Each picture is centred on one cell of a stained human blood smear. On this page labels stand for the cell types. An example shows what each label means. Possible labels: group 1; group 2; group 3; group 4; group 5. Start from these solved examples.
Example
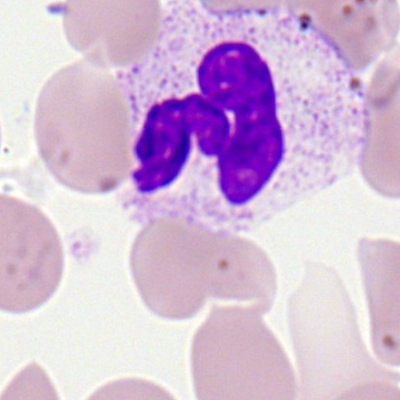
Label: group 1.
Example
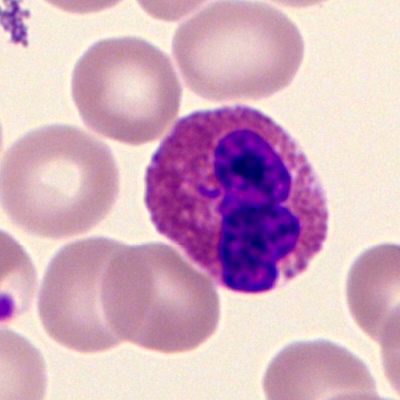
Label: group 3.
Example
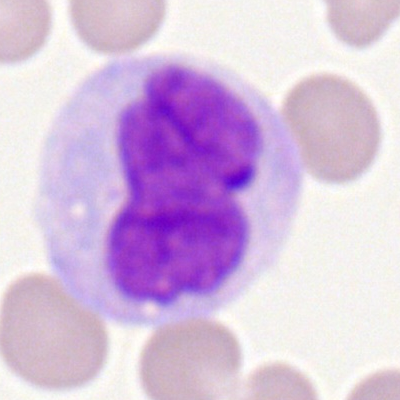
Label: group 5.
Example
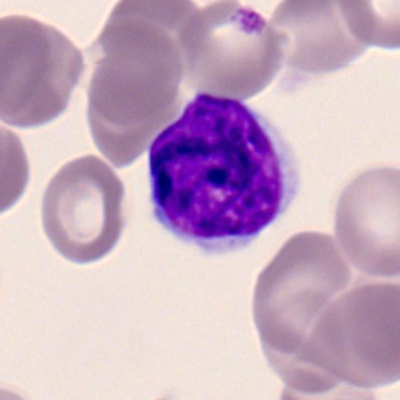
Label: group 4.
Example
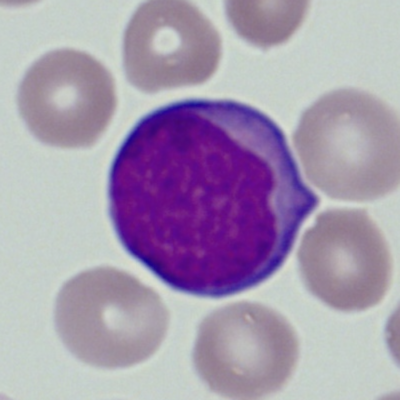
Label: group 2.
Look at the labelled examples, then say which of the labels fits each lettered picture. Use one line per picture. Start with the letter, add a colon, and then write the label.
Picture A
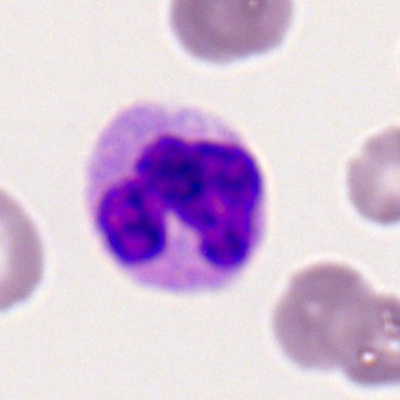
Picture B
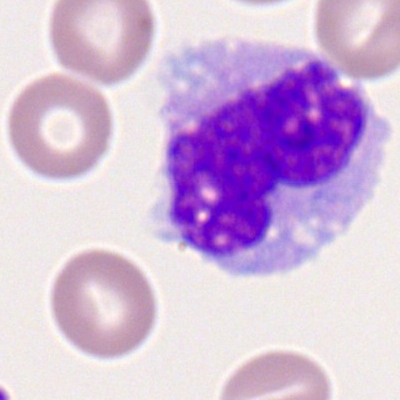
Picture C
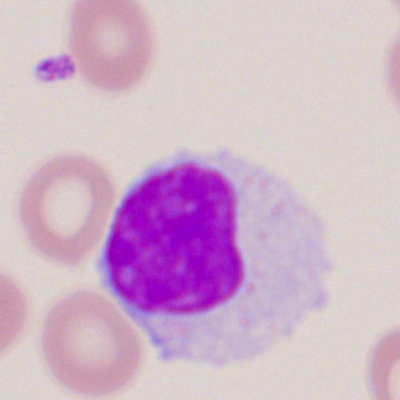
A: group 1.
B: group 5.
C: group 4.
